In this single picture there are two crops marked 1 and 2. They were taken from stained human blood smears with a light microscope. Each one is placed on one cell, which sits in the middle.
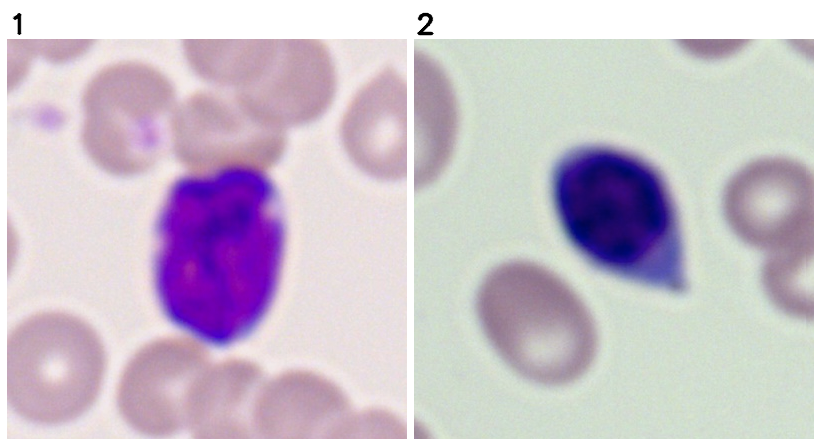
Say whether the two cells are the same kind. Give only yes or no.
no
